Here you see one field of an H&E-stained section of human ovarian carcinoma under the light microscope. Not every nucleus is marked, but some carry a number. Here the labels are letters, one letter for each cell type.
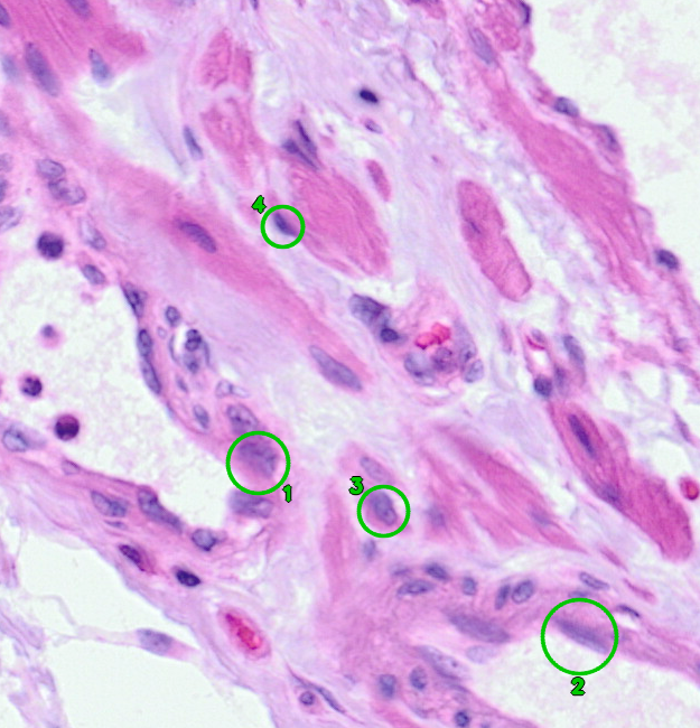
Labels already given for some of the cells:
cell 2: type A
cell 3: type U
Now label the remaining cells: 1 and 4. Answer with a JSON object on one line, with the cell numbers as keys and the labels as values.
{"1": "type A", "4": "type U"}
